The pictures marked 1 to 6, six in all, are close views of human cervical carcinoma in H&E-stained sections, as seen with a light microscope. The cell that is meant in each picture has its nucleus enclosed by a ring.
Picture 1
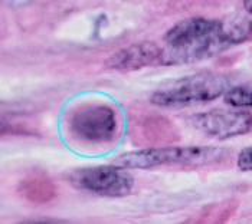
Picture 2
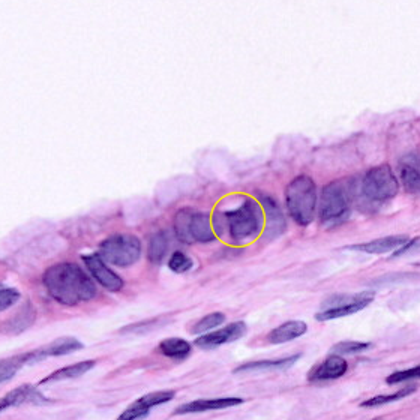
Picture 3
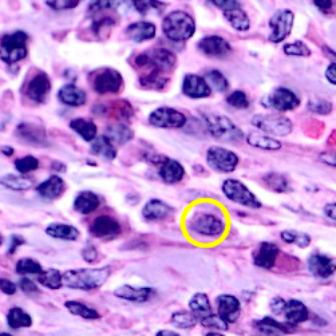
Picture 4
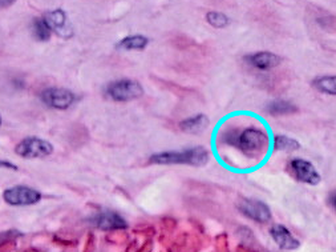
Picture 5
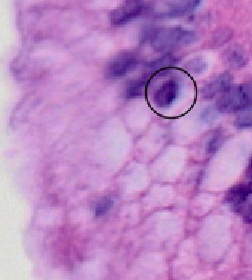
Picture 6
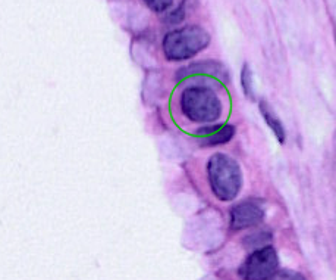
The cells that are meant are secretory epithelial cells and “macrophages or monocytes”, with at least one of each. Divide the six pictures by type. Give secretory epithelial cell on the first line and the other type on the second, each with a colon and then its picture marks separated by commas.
secretory epithelial cell: 2, 5, 6
macrophage or monocyte: 1, 3, 4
